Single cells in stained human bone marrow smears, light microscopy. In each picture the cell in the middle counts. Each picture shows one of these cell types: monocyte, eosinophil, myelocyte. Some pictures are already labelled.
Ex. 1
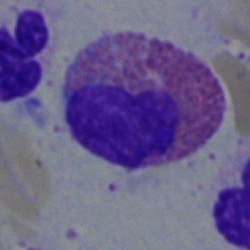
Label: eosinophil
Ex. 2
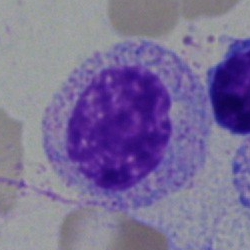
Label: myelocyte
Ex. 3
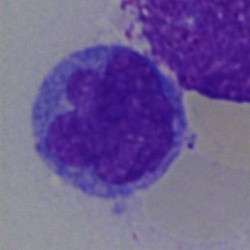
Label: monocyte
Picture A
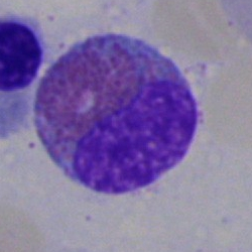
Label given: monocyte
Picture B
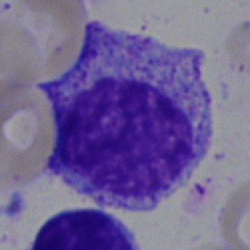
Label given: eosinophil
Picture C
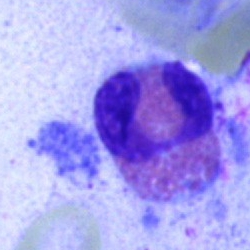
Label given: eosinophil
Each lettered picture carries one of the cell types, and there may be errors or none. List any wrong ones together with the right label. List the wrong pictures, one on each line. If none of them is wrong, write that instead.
A: change monocyte to eosinophil
B: change eosinophil to myelocyte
